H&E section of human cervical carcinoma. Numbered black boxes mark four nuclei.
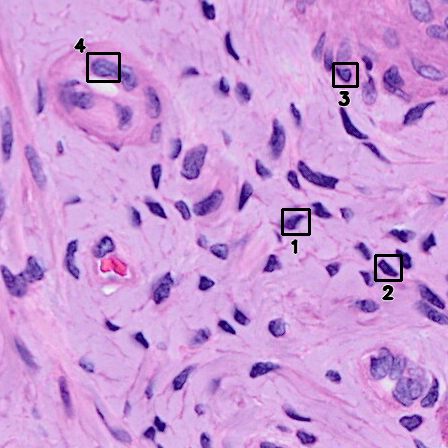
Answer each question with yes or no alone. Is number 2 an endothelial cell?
no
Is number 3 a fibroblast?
no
